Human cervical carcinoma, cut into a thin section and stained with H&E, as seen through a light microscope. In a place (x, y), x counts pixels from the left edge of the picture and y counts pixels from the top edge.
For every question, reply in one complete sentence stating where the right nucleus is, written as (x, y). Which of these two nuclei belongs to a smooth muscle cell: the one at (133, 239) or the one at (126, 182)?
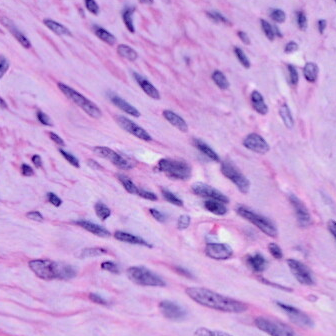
Assigned to a smooth muscle cell is the nucleus located at (126, 182).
